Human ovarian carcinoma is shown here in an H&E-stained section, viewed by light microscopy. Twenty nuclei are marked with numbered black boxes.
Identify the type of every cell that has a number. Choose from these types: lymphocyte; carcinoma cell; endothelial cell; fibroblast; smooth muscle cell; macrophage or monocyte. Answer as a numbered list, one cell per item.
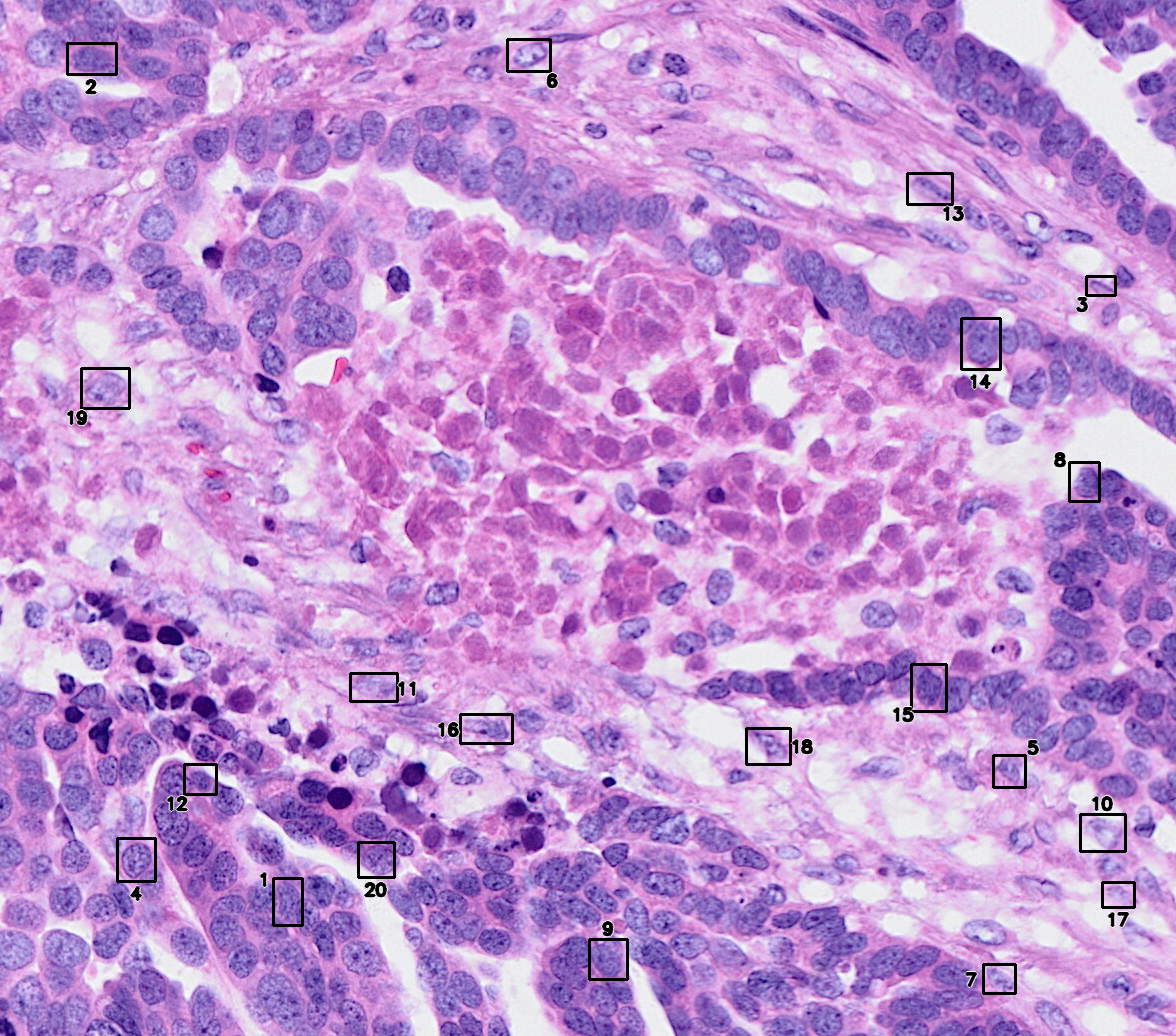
1. carcinoma cell
2. carcinoma cell
3. fibroblast
4. carcinoma cell
5. fibroblast
6. fibroblast
7. fibroblast
8. carcinoma cell
9. carcinoma cell
10. fibroblast
11. fibroblast
12. carcinoma cell
13. fibroblast
14. carcinoma cell
15. carcinoma cell
16. fibroblast
17. fibroblast
18. fibroblast
19. fibroblast
20. carcinoma cell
